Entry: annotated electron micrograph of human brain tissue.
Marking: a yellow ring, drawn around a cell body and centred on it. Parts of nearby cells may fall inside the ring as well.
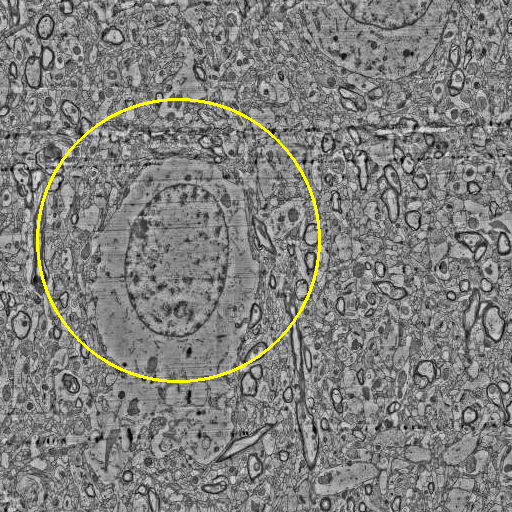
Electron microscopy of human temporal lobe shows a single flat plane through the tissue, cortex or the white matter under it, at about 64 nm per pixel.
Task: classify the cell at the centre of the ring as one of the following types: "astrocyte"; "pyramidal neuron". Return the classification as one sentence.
The marked cell is classified as an astrocyte.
